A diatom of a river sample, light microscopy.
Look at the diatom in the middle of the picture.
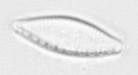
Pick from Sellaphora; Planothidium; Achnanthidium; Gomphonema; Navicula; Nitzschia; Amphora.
Nitzschia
